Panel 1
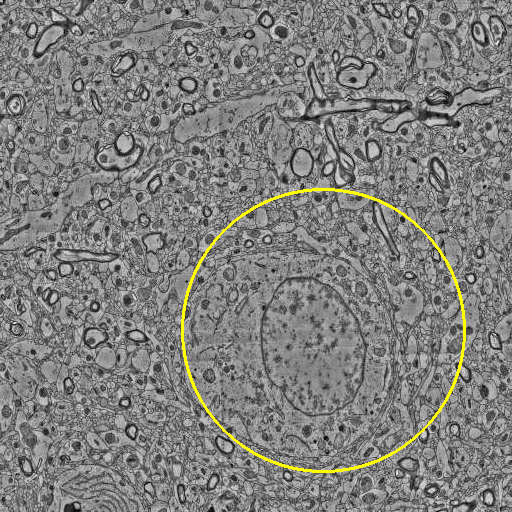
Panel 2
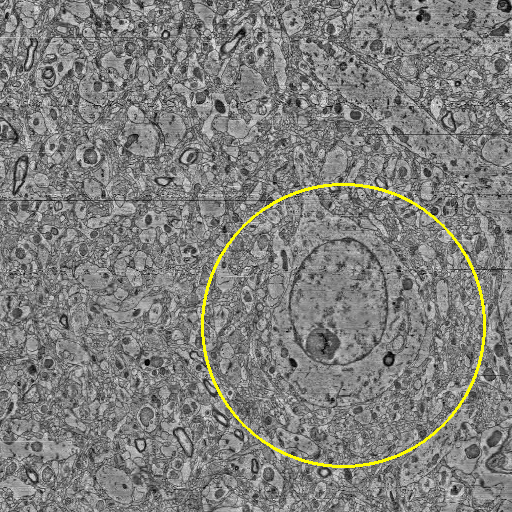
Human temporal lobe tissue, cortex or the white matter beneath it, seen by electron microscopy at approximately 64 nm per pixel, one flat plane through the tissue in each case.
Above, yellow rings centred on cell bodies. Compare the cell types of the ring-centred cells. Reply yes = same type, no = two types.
yes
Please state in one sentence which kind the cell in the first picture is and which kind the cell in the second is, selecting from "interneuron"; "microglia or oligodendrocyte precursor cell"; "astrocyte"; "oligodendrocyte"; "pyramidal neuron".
Each of the two pictures has a pyramidal neuron at the ring centre.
